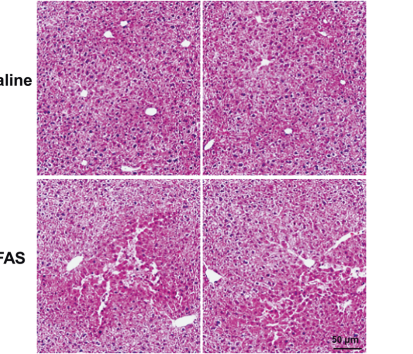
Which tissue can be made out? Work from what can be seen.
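Liver. Sheets of polygonal pink cells with round central nuclei. Small round vessel lumina scattered through the cell plates.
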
